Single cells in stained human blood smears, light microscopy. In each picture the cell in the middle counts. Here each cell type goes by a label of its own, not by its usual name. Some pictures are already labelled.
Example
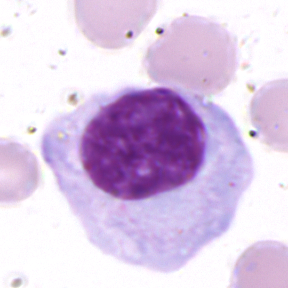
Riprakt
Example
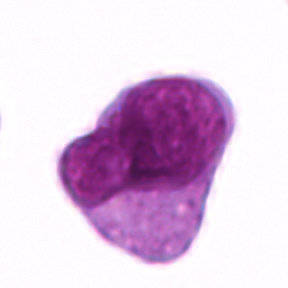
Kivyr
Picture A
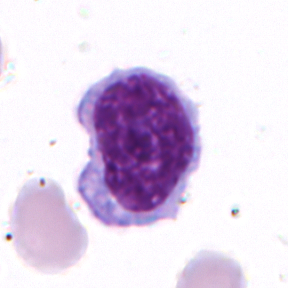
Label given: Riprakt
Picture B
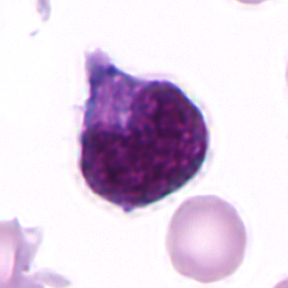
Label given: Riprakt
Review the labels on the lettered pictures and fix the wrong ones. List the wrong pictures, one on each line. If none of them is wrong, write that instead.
B: Kivyr, not Riprakt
